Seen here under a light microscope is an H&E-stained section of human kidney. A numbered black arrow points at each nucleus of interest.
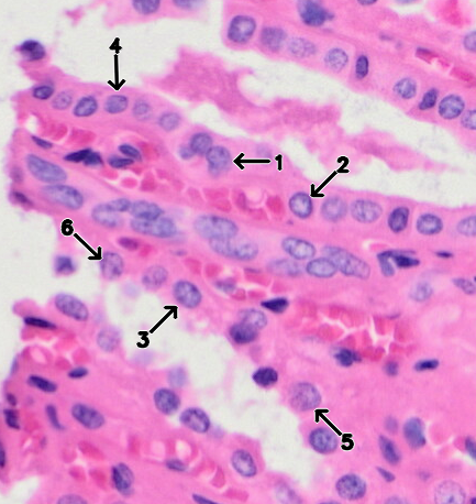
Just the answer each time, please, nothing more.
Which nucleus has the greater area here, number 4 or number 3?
3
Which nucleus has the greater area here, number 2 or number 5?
5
